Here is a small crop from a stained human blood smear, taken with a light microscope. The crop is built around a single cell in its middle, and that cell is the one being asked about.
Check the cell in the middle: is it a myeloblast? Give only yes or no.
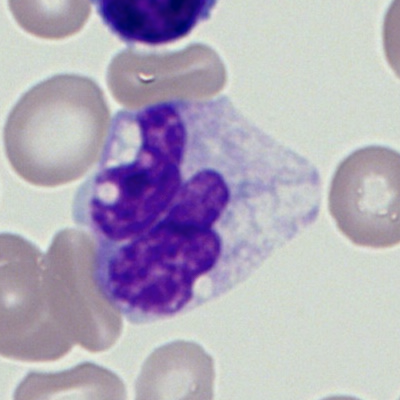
no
